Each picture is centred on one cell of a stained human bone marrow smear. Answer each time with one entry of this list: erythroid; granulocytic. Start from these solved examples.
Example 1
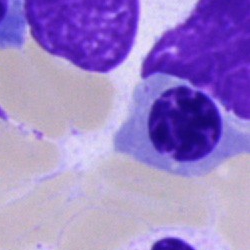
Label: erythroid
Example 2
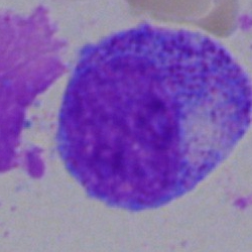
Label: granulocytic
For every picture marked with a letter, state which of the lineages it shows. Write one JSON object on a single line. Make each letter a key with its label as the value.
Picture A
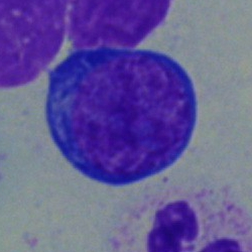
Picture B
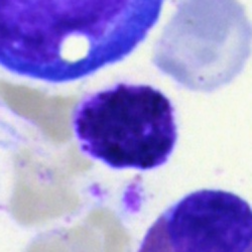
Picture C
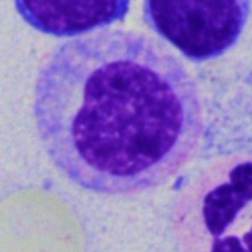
{"A": "erythroid", "B": "granulocytic", "C": "granulocytic"}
